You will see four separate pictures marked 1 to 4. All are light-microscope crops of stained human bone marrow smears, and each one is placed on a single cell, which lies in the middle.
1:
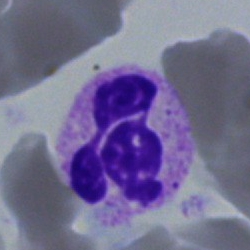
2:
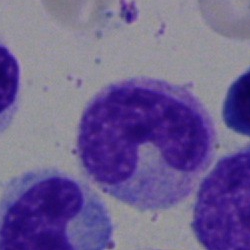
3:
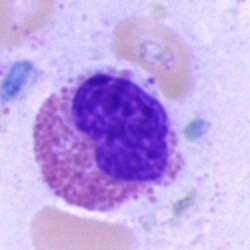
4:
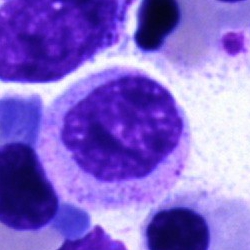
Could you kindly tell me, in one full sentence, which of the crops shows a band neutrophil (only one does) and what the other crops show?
Shown in crop 2 is a band neutrophil, whereas crop 1 is a segmented neutrophil, crop 3 is an eosinophil and crop 4 is a myelocyte.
